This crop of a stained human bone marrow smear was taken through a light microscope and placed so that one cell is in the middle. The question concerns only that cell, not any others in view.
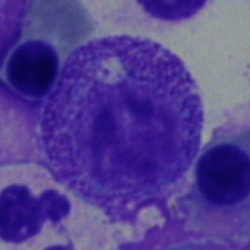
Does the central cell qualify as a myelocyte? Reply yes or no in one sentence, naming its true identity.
Yes, the cell placed centrally within the crop is a myelocyte.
